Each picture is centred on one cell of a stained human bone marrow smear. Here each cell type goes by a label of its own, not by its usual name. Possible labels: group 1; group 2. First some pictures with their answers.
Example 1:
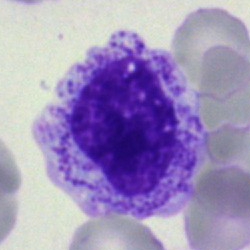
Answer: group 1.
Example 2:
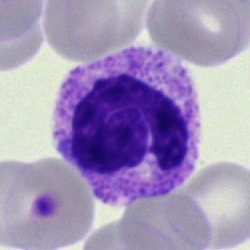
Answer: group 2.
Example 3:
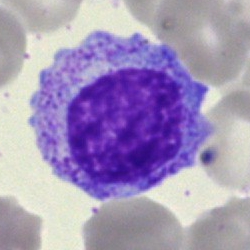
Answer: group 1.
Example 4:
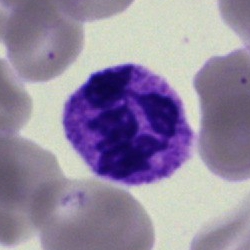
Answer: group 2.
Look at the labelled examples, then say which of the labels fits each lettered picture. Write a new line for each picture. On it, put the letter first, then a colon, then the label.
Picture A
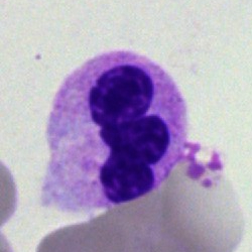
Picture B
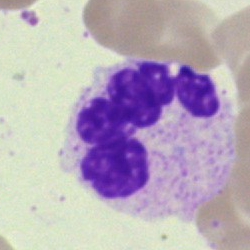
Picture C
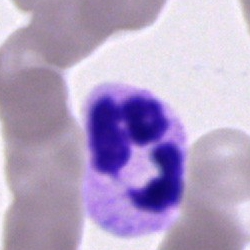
A: group 2.
B: group 2.
C: group 2.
